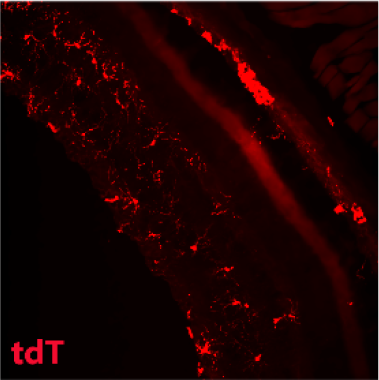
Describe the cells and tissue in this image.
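Retina with small red microglia cells bearing fine branching processes, spread singly through the inner part of the tissue. A faint diffuse red band runs lengthwise through the section, and brighter red clumps lie along the outer edge.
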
